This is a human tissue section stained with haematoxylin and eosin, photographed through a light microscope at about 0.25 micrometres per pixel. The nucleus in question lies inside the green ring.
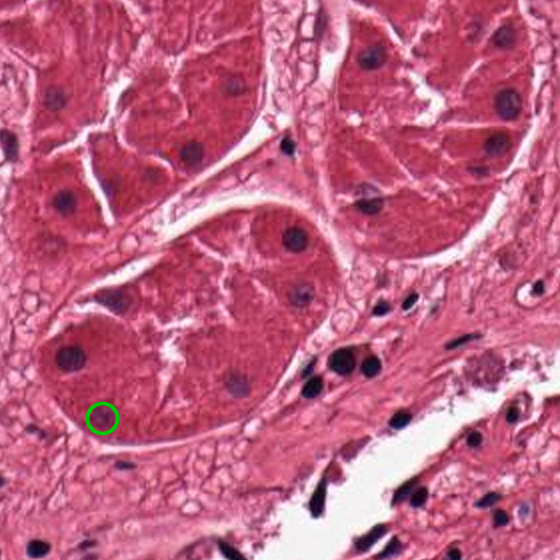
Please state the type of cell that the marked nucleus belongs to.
proximal tubule cell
